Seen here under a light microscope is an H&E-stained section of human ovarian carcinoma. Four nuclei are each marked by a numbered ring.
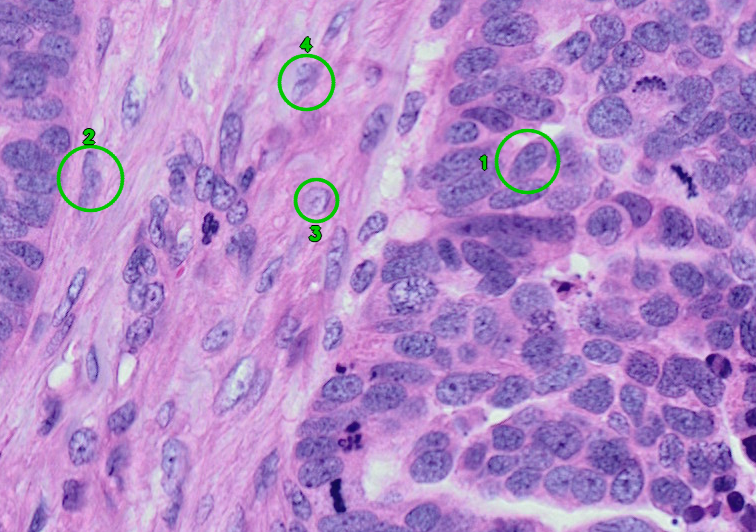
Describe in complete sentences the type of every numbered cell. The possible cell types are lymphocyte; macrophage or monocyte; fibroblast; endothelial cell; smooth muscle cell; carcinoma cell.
Cell 1 is a carcinoma cell, cell 2 is a fibroblast, cell 3 is a fibroblast and cell 4 is a fibroblast.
